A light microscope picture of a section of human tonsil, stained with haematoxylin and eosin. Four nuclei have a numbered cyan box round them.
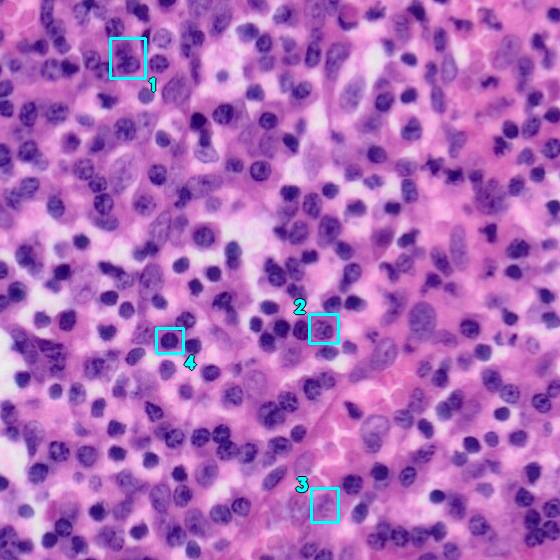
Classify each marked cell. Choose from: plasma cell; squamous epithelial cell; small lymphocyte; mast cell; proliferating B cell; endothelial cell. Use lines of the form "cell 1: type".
cell 1: plasma cell
cell 2: plasma cell
cell 3: endothelial cell
cell 4: plasma cell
